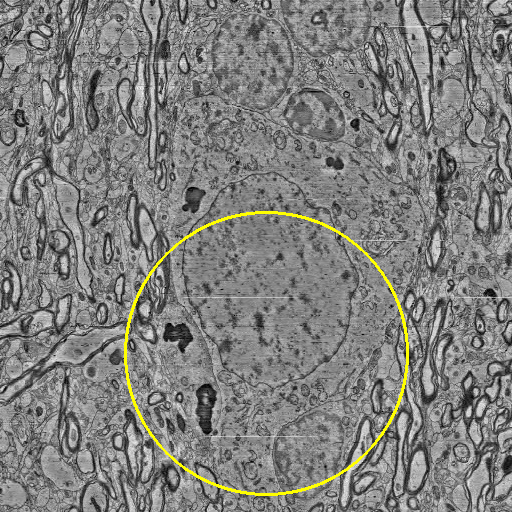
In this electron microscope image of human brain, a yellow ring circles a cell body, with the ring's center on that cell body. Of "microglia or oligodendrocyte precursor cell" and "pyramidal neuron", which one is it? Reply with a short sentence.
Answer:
It is a pyramidal neuron at the center of the ring.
